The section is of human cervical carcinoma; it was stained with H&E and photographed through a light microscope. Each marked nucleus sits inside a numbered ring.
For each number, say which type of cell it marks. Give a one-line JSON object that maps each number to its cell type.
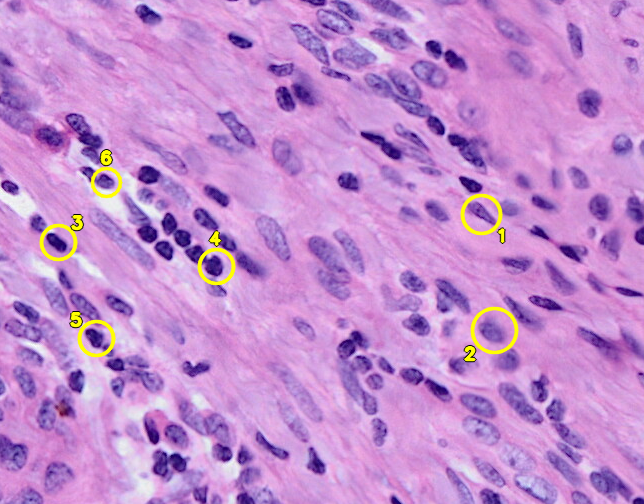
{"1": "fibroblast", "2": "fibroblast", "3": "lymphocyte", "4": "lymphocyte", "5": "lymphocyte", "6": "lymphocyte"}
